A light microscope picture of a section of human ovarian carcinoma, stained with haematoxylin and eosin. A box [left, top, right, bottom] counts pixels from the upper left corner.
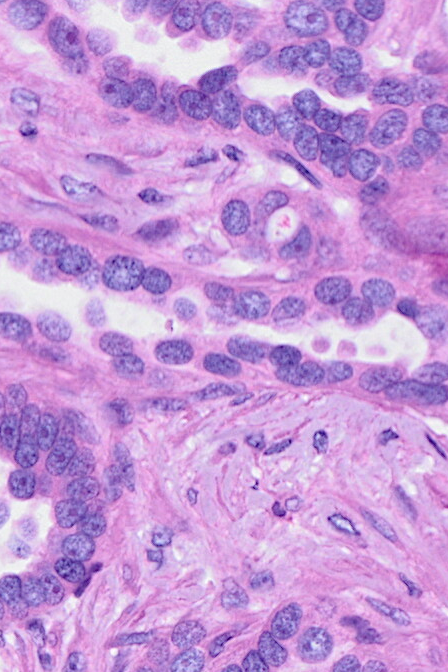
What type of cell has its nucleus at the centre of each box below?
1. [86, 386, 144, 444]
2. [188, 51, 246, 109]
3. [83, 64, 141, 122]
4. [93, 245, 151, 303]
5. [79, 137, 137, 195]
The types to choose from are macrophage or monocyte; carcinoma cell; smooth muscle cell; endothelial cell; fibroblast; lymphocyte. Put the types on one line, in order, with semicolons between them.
fibroblast; carcinoma cell; carcinoma cell; carcinoma cell; fibroblast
